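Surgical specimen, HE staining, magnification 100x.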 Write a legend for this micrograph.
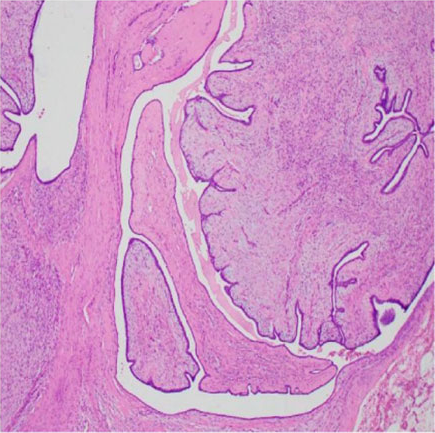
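Glandular structures set within a cellular stroma. Long, narrow, branching cleft-like spaces are lined by a thin purple epithelial layer. Broad stromal areas bulge into these spaces, and some of the stroma next to the clefts is dense and purple. A band of paler pink, fibrous tissue runs along the left side.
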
